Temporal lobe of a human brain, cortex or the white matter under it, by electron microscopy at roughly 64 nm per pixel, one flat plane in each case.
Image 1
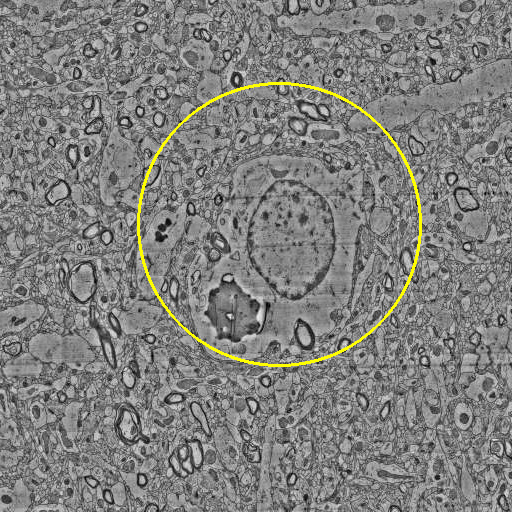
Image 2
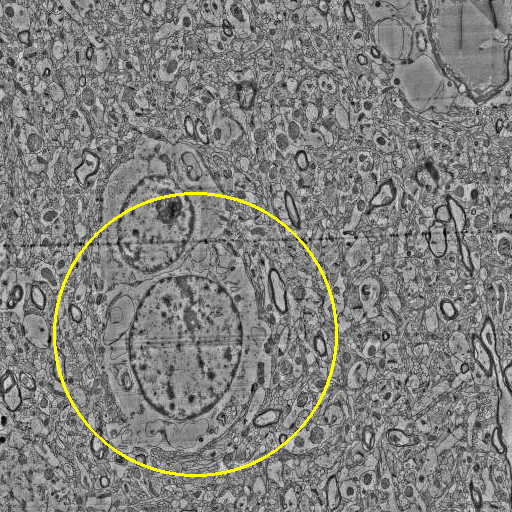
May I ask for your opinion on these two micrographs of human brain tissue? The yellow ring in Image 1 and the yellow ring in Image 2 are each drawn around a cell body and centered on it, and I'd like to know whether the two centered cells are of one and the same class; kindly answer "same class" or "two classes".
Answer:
same class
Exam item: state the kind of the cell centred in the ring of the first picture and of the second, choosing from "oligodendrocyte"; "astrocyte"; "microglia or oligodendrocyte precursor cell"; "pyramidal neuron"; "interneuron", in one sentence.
The cell at the ring centre is an astrocyte in both pictures.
